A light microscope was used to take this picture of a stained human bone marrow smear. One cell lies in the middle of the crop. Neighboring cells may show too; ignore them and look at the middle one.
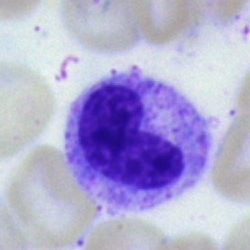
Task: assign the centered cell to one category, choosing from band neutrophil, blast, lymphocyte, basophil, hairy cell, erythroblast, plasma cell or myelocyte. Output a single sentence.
In this crop, the cell at the very middle is a band neutrophil.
